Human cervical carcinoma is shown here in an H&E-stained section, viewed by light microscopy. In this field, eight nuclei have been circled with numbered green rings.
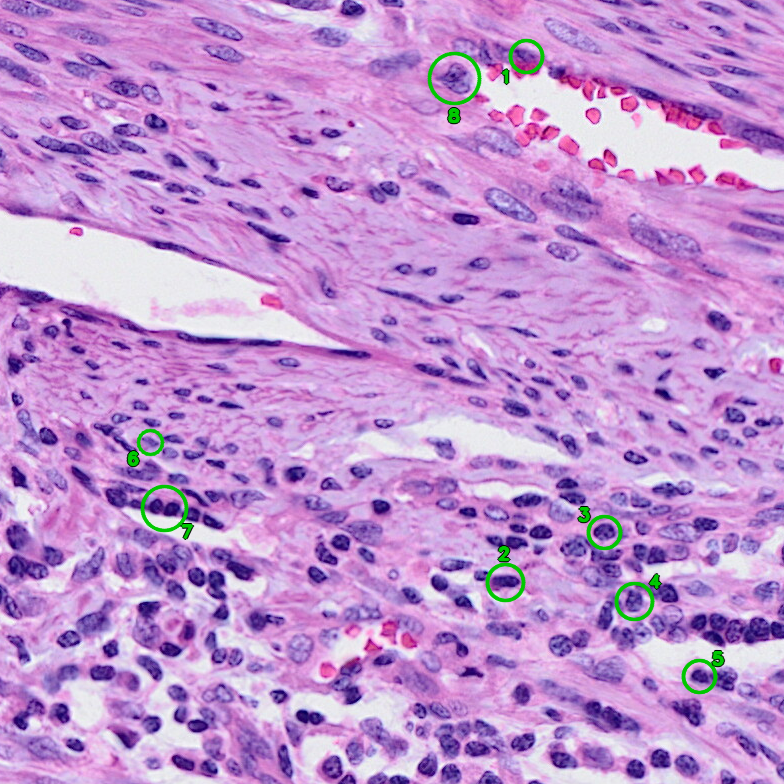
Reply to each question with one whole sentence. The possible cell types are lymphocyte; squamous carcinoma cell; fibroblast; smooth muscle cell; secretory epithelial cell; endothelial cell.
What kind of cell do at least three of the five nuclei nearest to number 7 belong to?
Around number 7, most of the five nearest nuclei are those of lymphocytes.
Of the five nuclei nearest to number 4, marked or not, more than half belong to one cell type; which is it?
Around number 4, most of the five nearest nuclei are those of lymphocytes.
